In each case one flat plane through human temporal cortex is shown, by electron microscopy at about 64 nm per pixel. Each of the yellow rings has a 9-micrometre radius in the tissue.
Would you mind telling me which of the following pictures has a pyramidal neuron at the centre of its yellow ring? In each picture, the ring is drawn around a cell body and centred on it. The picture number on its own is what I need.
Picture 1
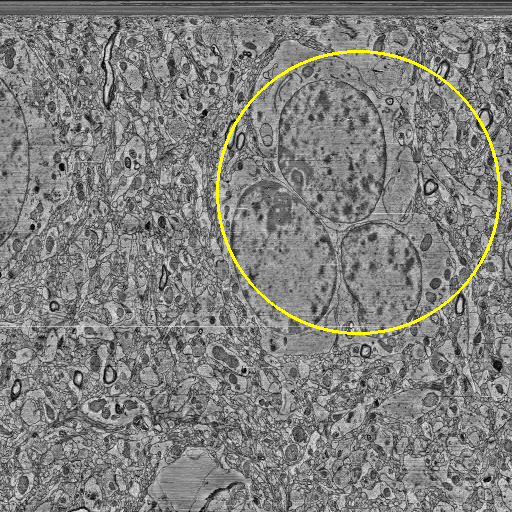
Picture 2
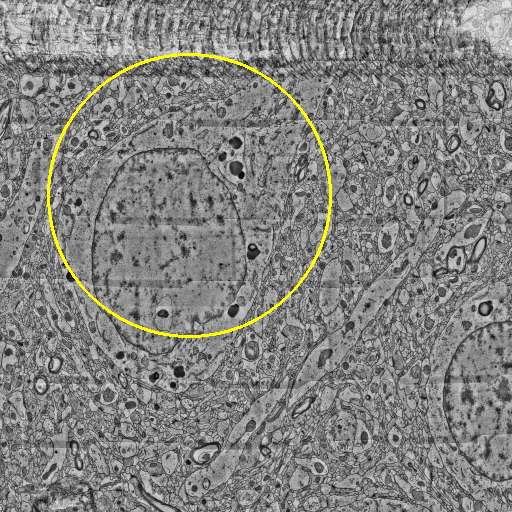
2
